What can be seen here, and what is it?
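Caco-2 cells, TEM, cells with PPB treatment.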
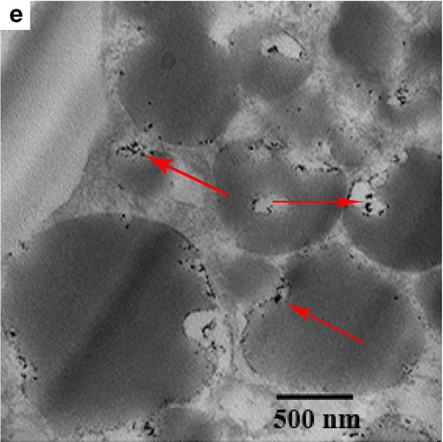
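The droplets are large and round with homogeneous gray contents, abutting one another with thin strips of cytoplasm between them. Along the rims of several droplets lie small, very dark particles, often in clusters within pale irregular spaces. The particles sit at the droplet margins rather than spread through the droplet interiors.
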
